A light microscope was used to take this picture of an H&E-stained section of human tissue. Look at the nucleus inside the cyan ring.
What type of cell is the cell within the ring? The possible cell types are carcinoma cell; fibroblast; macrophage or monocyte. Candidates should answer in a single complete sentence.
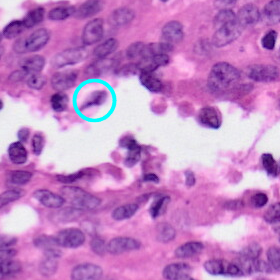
To be brief about it, the cell within the ring is a macrophage or monocyte.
